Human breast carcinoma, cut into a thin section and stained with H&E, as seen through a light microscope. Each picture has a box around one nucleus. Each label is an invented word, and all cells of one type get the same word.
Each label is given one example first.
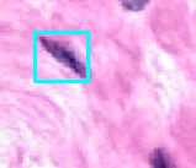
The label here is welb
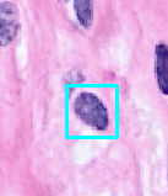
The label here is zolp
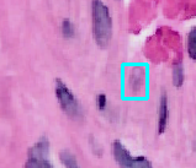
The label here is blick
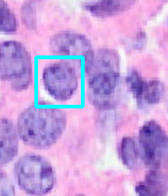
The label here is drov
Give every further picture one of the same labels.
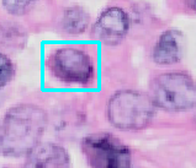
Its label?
drov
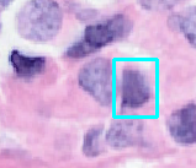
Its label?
drov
